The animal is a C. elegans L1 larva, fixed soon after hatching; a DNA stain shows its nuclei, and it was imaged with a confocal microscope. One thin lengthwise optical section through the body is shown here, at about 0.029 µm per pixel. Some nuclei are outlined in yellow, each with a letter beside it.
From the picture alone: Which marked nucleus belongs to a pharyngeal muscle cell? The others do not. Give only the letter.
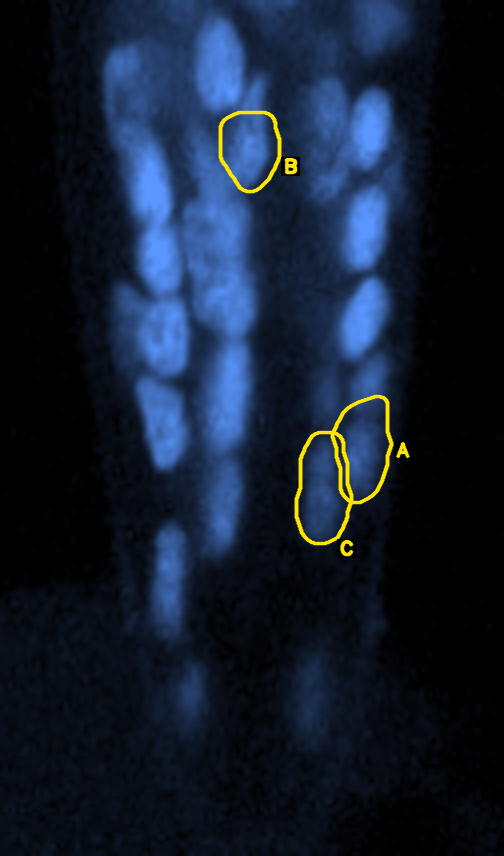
B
